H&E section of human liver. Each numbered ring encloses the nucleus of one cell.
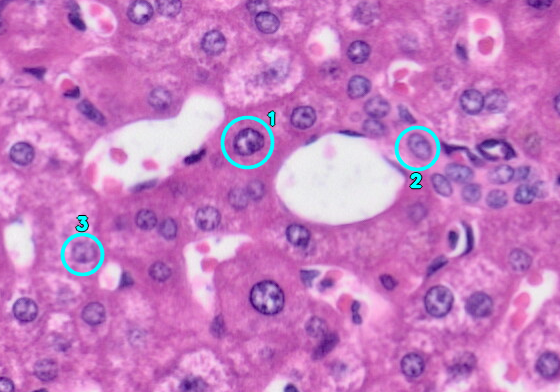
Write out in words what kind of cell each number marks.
Cells 1 and 3 are hepatocytes. Cell 2 is a cholangiocyte.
